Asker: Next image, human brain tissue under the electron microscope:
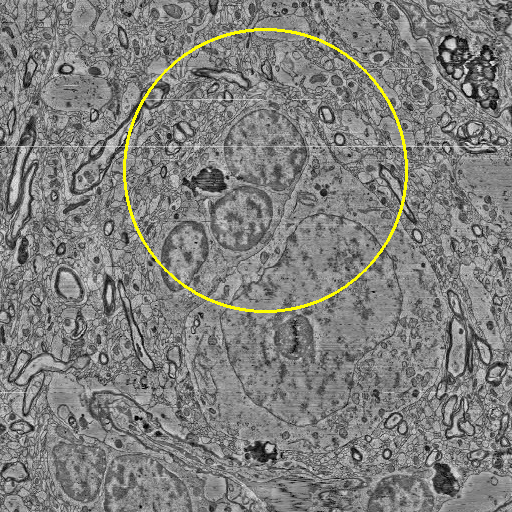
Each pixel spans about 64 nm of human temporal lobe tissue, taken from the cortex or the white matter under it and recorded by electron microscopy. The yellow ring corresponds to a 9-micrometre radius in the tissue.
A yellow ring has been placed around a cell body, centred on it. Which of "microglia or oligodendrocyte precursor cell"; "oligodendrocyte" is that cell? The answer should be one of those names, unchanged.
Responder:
oligodendrocyte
